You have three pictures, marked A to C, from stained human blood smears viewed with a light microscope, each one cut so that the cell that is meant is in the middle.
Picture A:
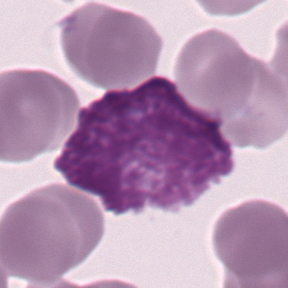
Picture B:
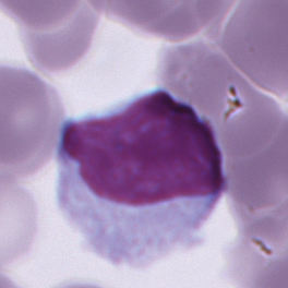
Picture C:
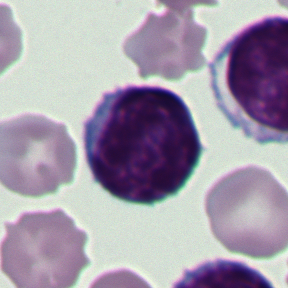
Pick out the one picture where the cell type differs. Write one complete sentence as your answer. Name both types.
All pictures except A show typical lymphocytes; picture A shows a smudge cell.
